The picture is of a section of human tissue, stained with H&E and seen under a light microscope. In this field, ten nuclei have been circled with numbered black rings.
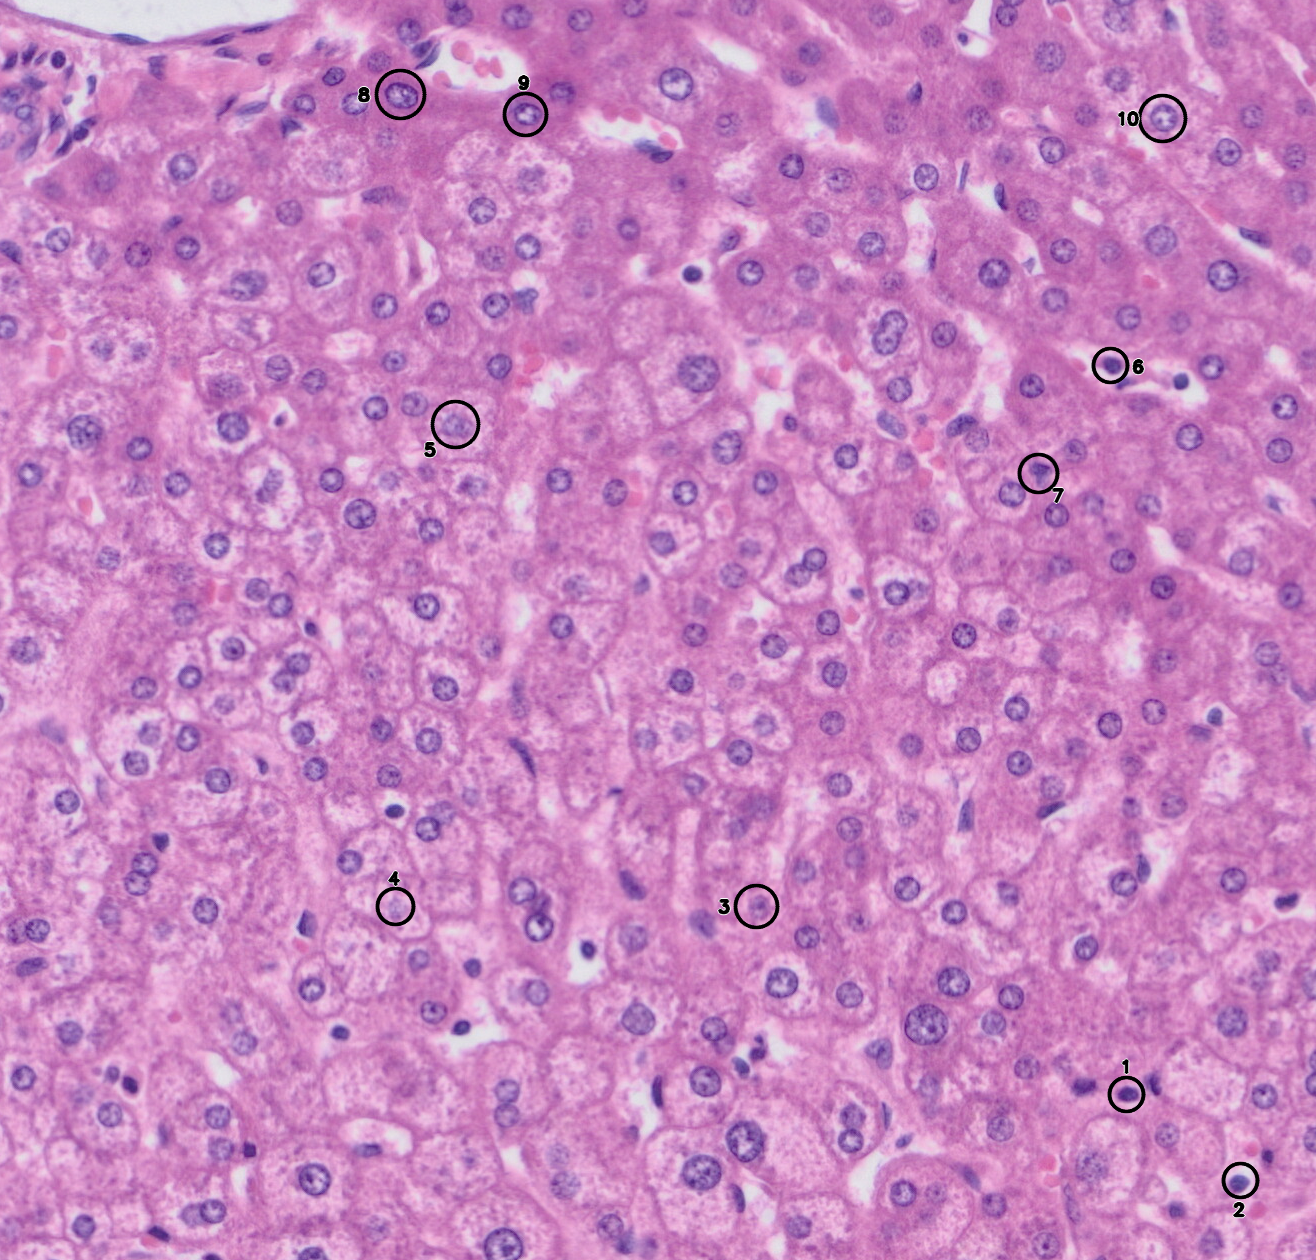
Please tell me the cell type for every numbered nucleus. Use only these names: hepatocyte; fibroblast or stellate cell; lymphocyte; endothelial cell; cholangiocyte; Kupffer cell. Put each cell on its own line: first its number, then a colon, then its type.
1: lymphocyte
2: lymphocyte
3: hepatocyte
4: hepatocyte
5: hepatocyte
6: lymphocyte
7: fibroblast or stellate cell
8: hepatocyte
9: hepatocyte
10: hepatocyte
